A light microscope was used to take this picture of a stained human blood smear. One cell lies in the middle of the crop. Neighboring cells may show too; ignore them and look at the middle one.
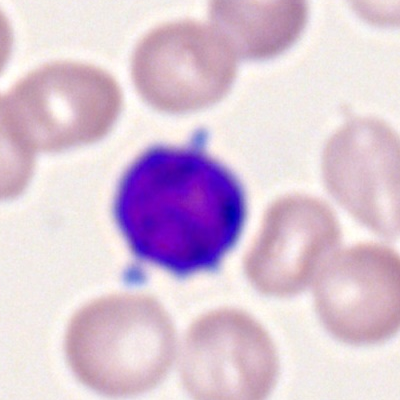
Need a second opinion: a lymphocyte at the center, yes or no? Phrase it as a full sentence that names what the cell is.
Yes, the middle cell here is a lymphocyte.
